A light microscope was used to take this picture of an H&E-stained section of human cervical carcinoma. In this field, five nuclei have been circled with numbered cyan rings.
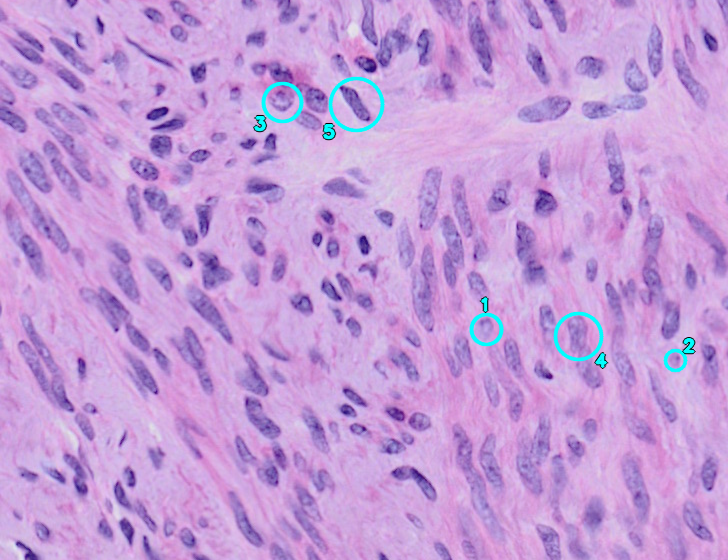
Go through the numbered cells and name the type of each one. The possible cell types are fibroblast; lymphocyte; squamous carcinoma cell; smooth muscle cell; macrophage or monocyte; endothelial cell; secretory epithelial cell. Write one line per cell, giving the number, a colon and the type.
1: smooth muscle cell
2: smooth muscle cell
3: endothelial cell
4: smooth muscle cell
5: fibroblast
